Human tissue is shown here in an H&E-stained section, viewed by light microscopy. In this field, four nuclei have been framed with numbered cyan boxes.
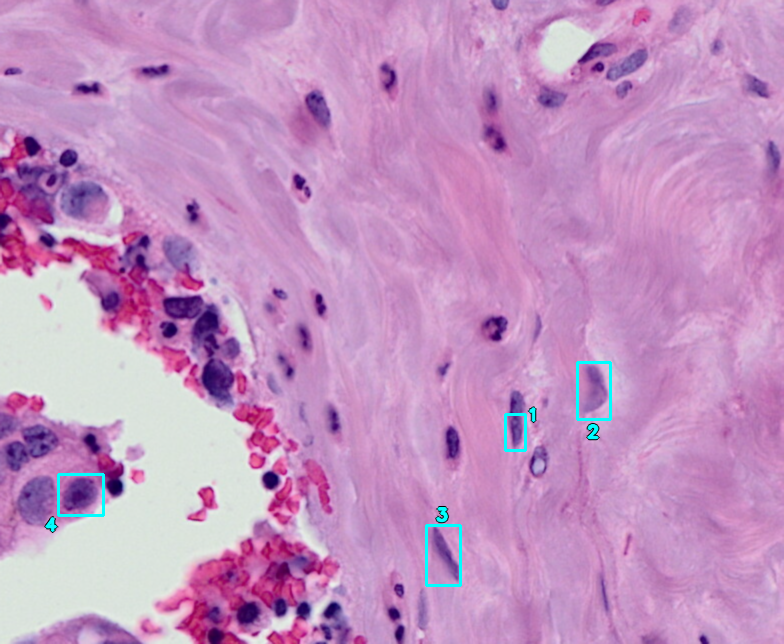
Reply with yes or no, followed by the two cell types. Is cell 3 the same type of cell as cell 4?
No, the cell tagged 3 is a fibroblast, whereas the cell tagged 4 is a carcinoma cell.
